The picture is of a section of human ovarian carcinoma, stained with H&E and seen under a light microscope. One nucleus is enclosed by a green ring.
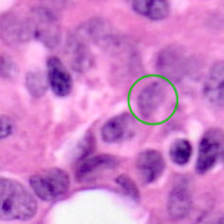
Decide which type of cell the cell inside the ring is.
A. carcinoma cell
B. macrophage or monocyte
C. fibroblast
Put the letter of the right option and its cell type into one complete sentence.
In short, option A: the cell inside the ring is a carcinoma cell.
